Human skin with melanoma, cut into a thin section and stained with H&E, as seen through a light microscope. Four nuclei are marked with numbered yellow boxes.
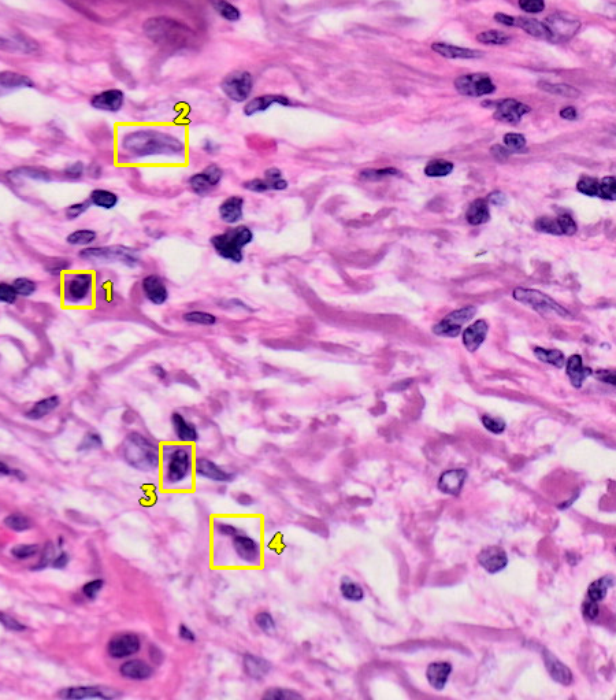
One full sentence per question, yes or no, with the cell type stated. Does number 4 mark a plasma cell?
No, number 4 is not a plasma cell; it is a fibroblast or myofibroblast.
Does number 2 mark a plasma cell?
No, cell 2, which is a fibroblast or myofibroblast, is not a plasma cell.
